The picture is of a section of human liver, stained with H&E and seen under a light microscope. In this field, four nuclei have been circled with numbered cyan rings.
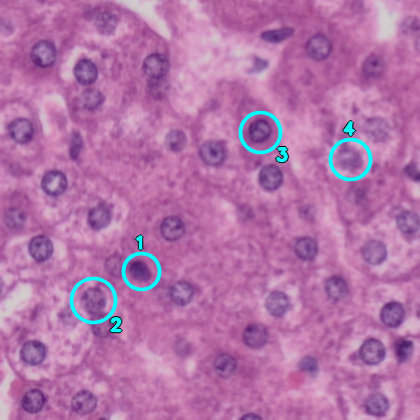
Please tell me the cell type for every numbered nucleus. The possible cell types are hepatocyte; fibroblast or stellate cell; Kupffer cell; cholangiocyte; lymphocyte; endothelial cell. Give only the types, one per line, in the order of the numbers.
fibroblast or stellate cell
hepatocyte
hepatocyte
hepatocyte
